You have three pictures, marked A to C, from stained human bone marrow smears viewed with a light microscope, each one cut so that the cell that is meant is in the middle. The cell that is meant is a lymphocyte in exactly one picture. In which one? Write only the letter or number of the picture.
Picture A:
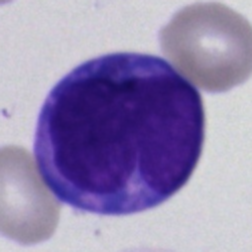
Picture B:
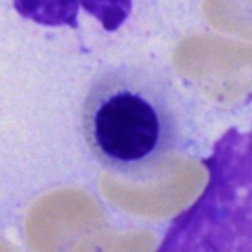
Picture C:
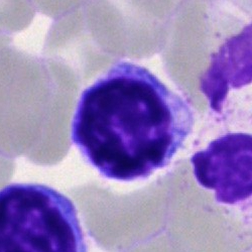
C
